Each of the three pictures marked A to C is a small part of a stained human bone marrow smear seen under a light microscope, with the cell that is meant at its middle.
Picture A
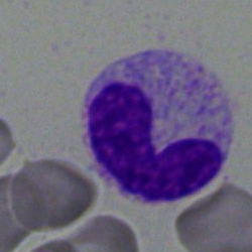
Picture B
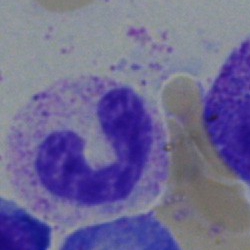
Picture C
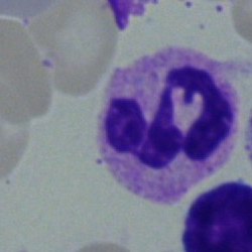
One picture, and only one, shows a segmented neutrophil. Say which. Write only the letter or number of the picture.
C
